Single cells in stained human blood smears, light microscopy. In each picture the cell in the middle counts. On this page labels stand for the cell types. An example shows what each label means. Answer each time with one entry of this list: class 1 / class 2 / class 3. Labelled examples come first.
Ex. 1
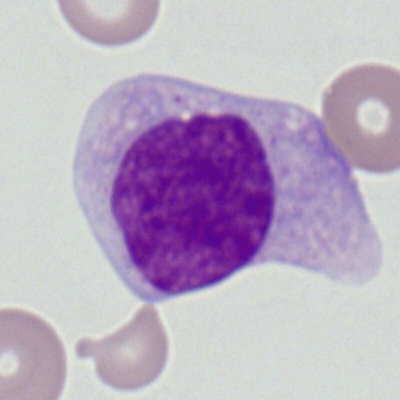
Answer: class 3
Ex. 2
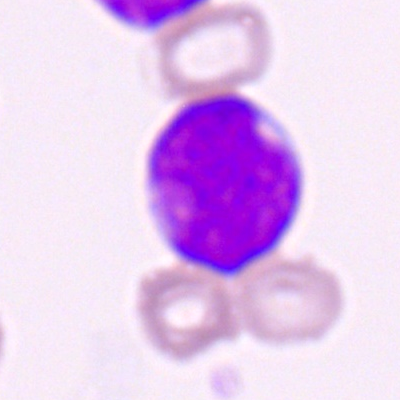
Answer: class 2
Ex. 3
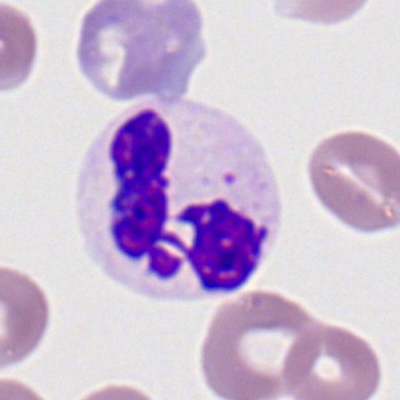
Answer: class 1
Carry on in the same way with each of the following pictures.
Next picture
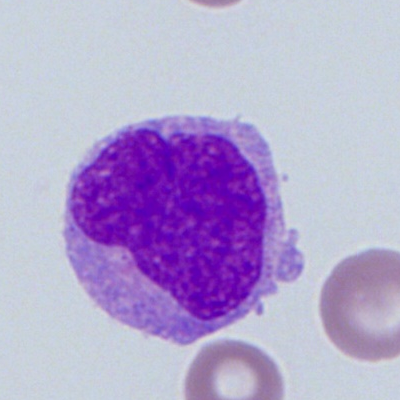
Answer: class 2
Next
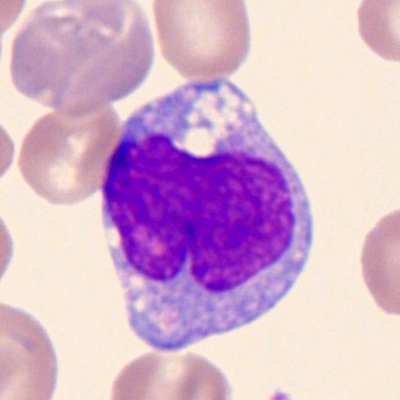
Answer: class 3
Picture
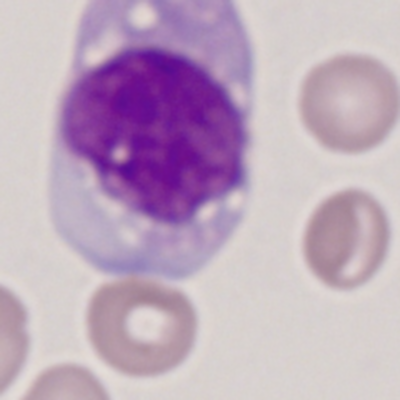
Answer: class 3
